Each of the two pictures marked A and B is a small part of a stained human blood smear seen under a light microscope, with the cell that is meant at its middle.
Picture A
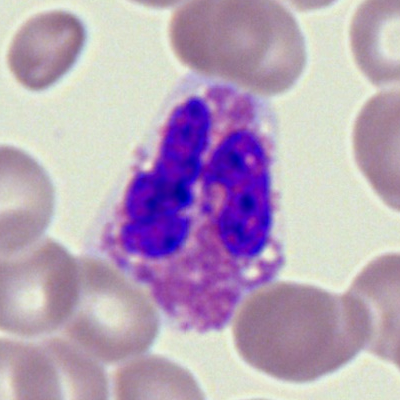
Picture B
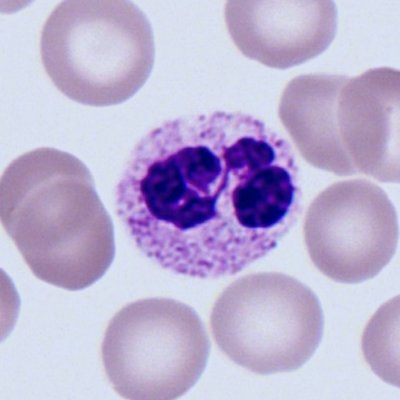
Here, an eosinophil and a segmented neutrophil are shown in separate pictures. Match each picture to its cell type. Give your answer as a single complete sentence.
Picture A is of an eosinophil, and picture B is of a segmented neutrophil.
